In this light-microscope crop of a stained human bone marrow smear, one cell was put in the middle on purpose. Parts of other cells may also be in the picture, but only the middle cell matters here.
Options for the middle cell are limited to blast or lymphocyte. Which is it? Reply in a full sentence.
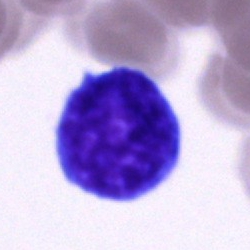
The middle of this crop holds a blast.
